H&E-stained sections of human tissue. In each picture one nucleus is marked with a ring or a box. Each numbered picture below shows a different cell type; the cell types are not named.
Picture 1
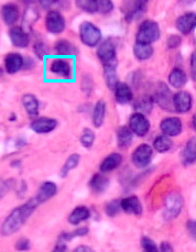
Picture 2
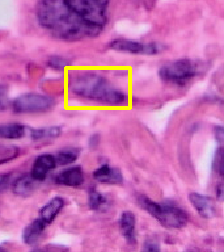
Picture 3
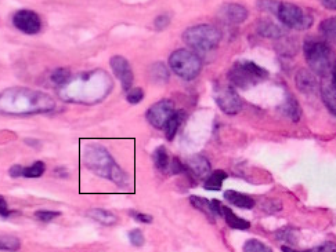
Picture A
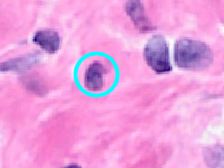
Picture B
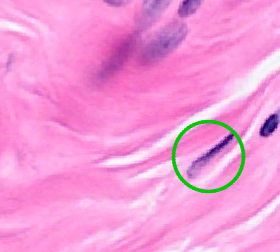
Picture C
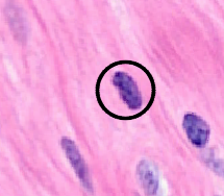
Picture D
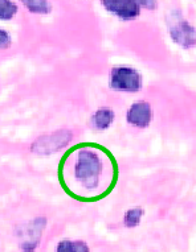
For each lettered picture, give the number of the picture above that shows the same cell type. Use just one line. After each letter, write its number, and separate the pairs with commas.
A 1, B 3, C 1, D 1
